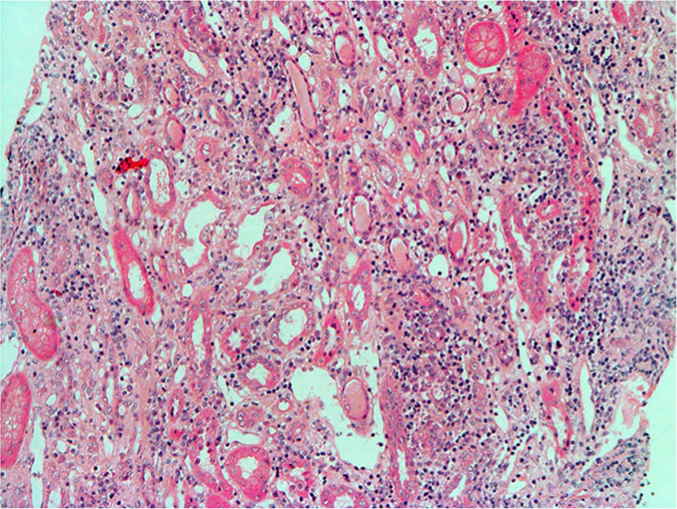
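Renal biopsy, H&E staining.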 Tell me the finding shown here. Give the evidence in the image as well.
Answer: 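Many small round dark nuclei crowd the spaces between the tubules. The dense small cells spread across most of the field rather than forming one focus.
Conclusion: lymphocytic infiltration into interstitium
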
